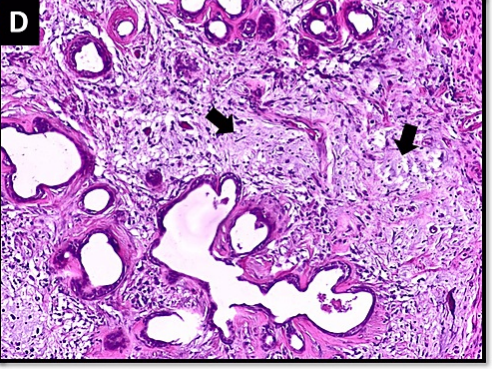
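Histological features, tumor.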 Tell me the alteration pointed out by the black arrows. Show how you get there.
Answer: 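Myxoid change. The stroma at the arrows is pale, loose and bluish-grey. Cells in these areas are sparse and stellate within a wispy background.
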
